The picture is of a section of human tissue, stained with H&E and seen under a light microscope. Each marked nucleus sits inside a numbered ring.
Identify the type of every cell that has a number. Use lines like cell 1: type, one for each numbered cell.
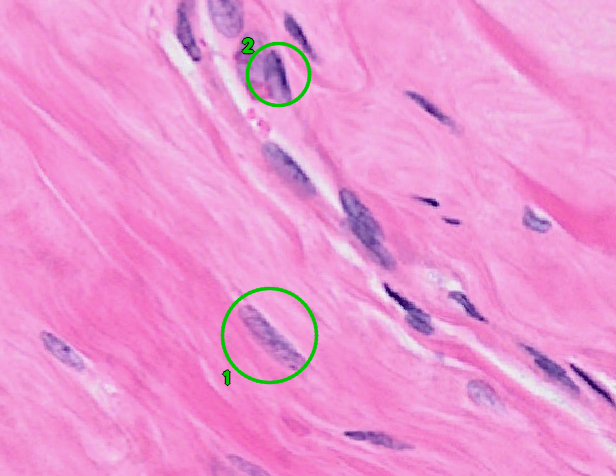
cell 1: fibroblast
cell 2: endothelial cell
